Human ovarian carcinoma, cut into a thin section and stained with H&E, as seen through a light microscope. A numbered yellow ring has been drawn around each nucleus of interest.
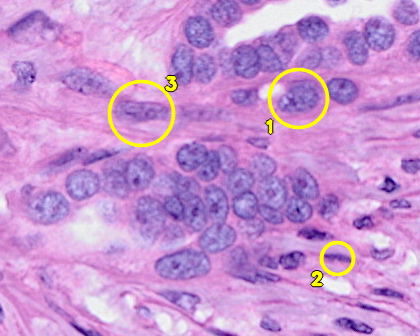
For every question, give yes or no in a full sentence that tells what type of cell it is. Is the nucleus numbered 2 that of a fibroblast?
Yes, the cell shown as number 2 is a fibroblast.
